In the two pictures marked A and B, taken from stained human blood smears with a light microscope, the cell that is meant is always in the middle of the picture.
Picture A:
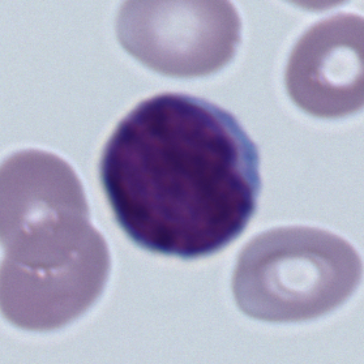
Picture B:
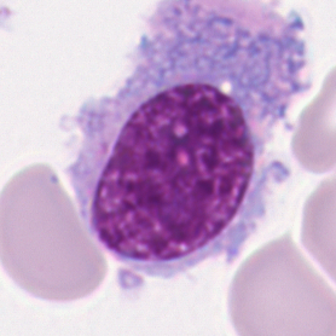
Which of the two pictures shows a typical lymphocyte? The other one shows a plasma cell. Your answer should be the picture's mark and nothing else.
A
